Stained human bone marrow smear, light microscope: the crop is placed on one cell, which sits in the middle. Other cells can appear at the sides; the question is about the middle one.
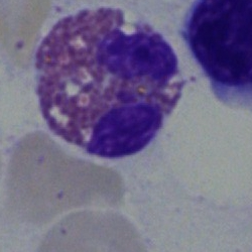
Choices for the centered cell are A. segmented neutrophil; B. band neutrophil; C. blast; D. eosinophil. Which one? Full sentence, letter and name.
Option D is the right one, for the cell in the middle is an eosinophil.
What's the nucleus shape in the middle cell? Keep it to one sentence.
The nucleus is segmented, with two or more lobes present.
